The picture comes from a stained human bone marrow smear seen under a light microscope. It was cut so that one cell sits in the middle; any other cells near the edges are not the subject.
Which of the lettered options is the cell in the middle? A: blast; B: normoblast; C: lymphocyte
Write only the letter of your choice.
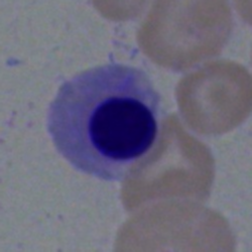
B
